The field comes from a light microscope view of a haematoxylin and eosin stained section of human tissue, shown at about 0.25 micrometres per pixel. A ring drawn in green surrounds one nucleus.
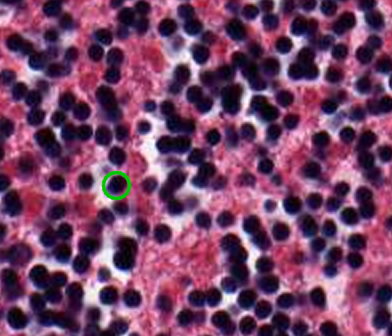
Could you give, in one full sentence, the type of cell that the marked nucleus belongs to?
On this slide, the marked nucleus belongs to a cerebellar granule cell.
